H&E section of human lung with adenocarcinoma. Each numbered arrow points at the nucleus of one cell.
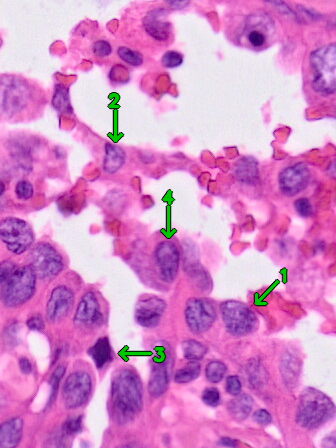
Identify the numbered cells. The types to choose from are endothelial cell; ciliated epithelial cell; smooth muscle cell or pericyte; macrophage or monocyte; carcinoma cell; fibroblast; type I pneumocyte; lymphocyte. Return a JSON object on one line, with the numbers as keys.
{"1": "carcinoma cell", "2": "macrophage or monocyte", "3": "carcinoma cell", "4": "carcinoma cell"}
